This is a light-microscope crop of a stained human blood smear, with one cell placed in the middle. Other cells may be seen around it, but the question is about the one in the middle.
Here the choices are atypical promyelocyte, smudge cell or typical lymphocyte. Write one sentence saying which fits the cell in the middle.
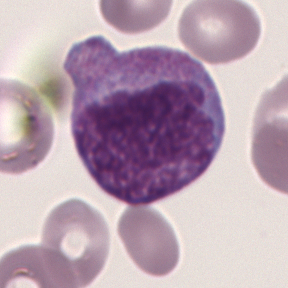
The center cell of this crop is an atypical promyelocyte.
